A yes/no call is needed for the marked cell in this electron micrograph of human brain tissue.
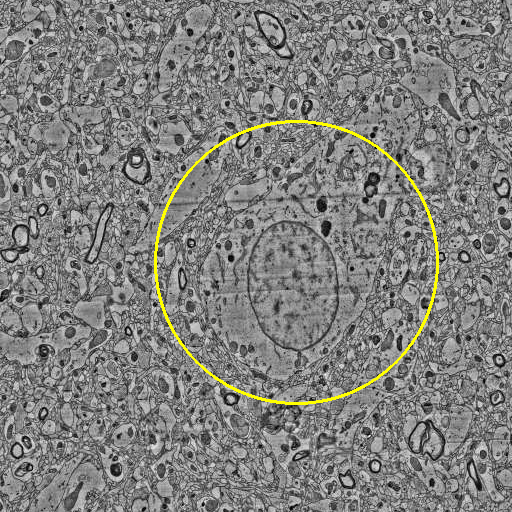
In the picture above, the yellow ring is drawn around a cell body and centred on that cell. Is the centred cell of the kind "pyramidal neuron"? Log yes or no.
yes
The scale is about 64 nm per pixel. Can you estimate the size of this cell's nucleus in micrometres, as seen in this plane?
The nucleus of the ringed cell is approximately 8 by 6 micrometres in this plane.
